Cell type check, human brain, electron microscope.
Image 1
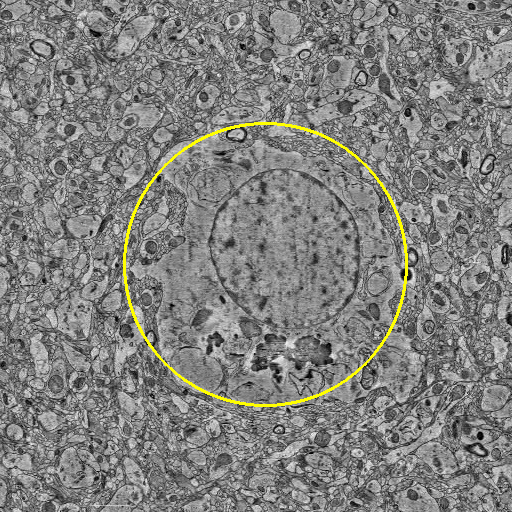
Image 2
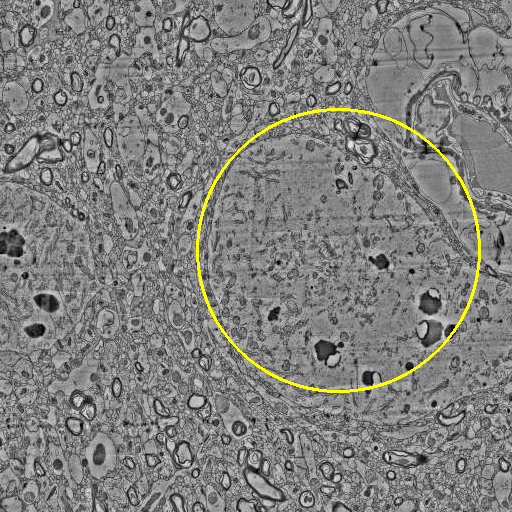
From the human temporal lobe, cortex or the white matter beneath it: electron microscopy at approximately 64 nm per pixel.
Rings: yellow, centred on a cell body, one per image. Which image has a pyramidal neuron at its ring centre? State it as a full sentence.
The ring in Image 2 is centred on it.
